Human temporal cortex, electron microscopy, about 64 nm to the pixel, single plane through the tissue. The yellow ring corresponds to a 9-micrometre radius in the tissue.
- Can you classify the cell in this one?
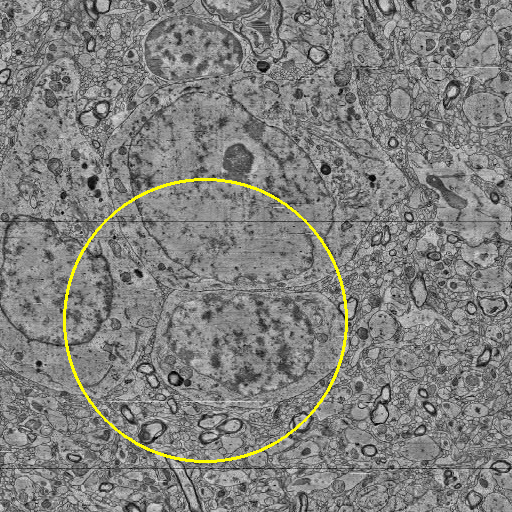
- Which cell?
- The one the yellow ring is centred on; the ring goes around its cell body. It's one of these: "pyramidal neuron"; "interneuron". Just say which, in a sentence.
The cell body in the ring belongs to an interneuron.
